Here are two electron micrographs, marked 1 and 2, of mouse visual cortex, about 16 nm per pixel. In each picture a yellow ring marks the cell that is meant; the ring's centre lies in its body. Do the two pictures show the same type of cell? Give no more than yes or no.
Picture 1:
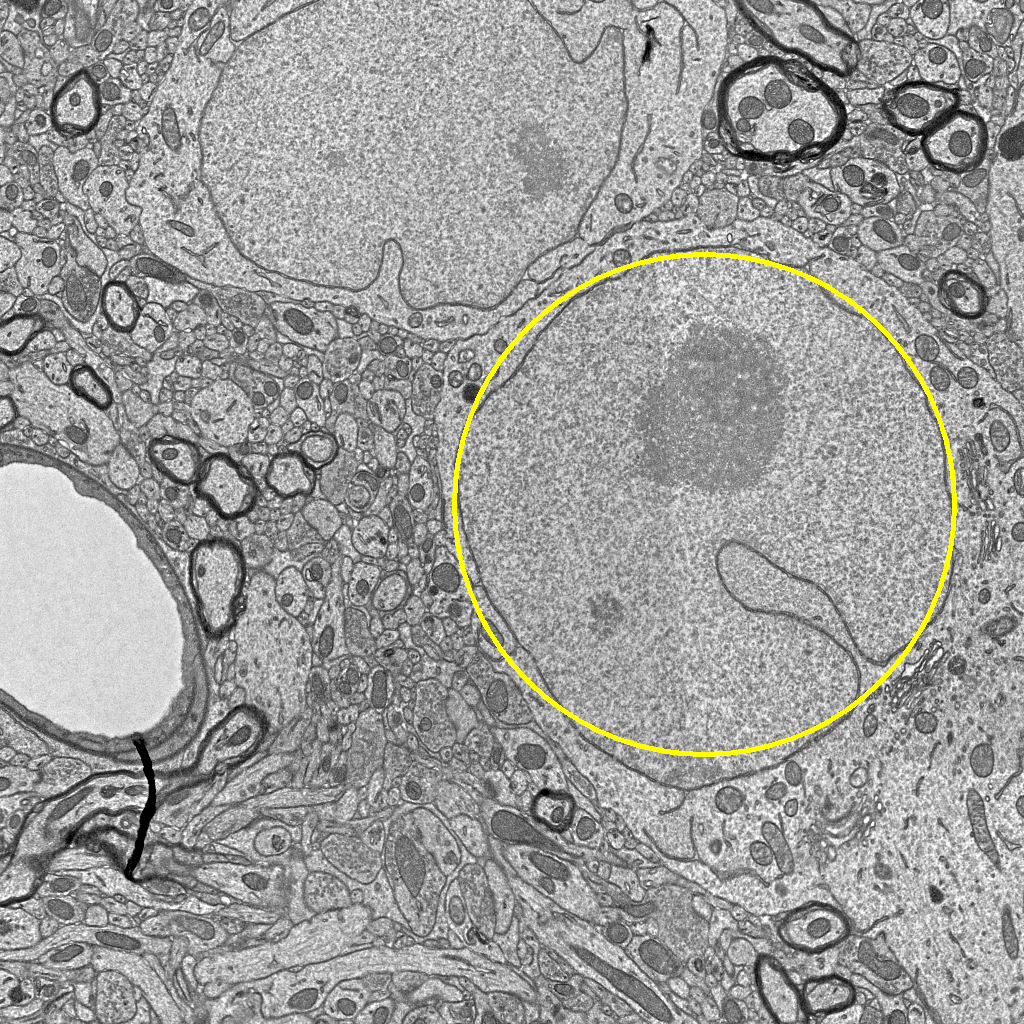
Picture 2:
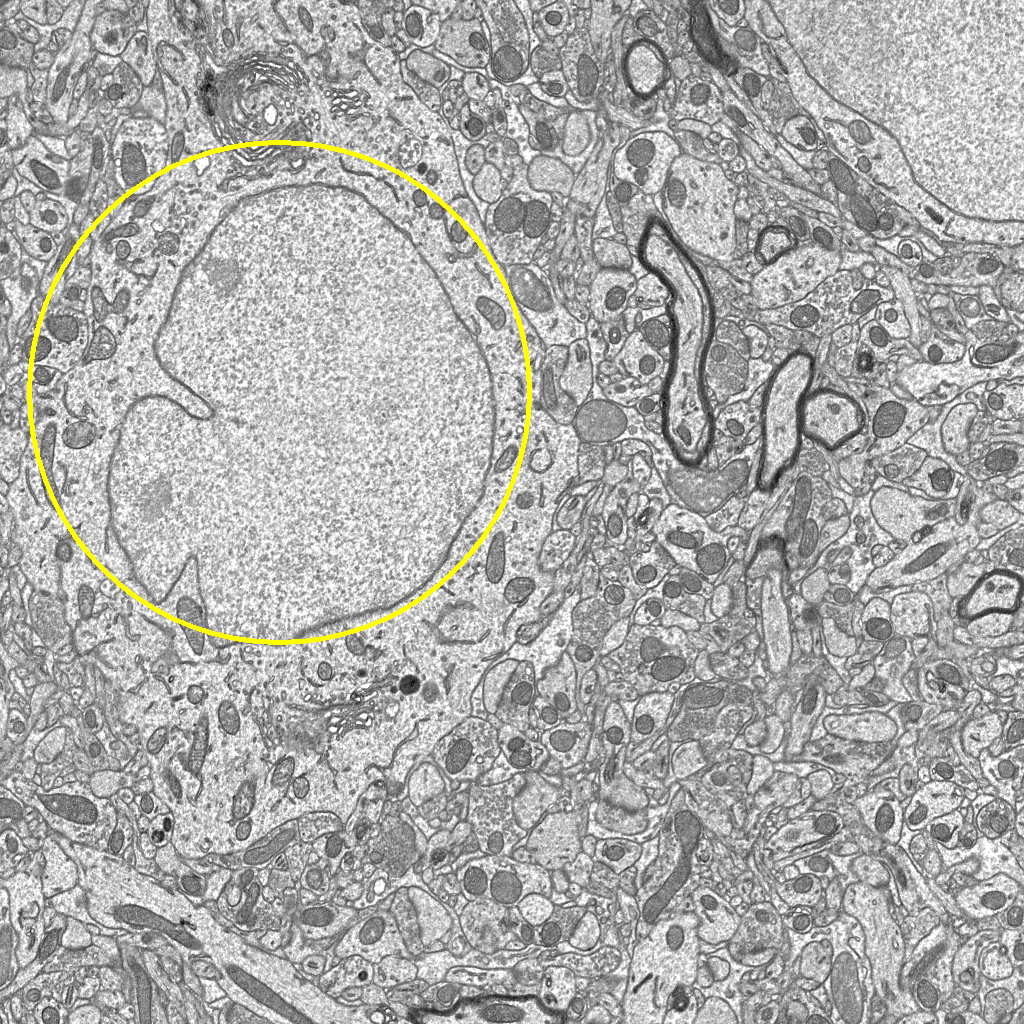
yes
